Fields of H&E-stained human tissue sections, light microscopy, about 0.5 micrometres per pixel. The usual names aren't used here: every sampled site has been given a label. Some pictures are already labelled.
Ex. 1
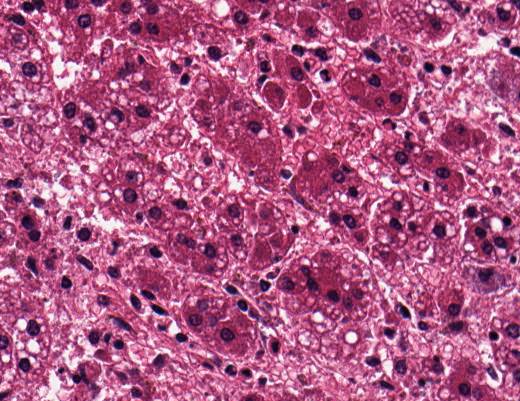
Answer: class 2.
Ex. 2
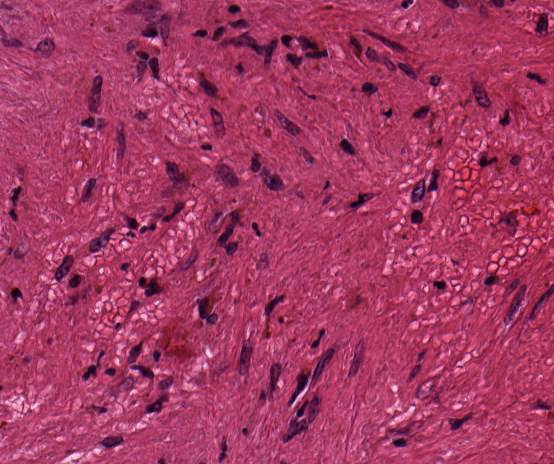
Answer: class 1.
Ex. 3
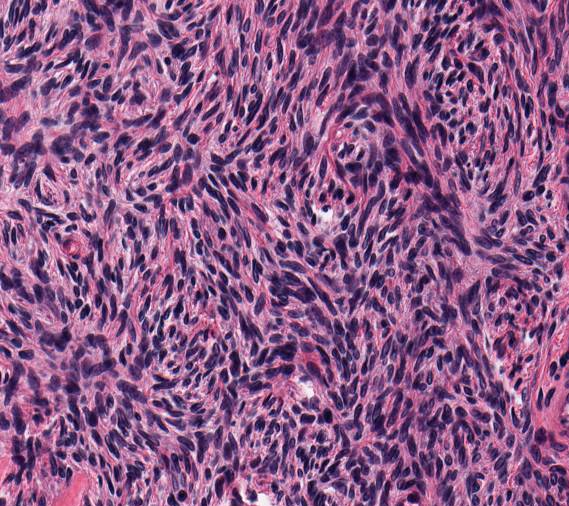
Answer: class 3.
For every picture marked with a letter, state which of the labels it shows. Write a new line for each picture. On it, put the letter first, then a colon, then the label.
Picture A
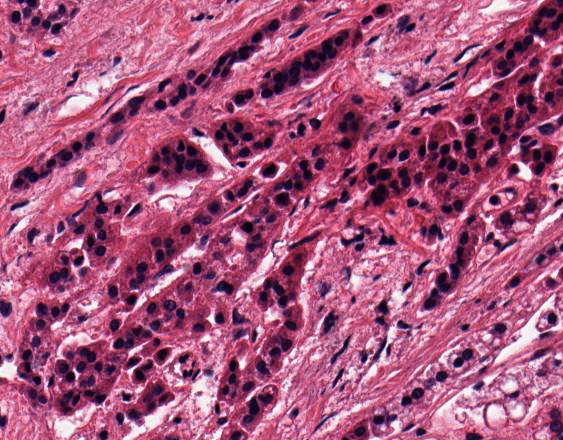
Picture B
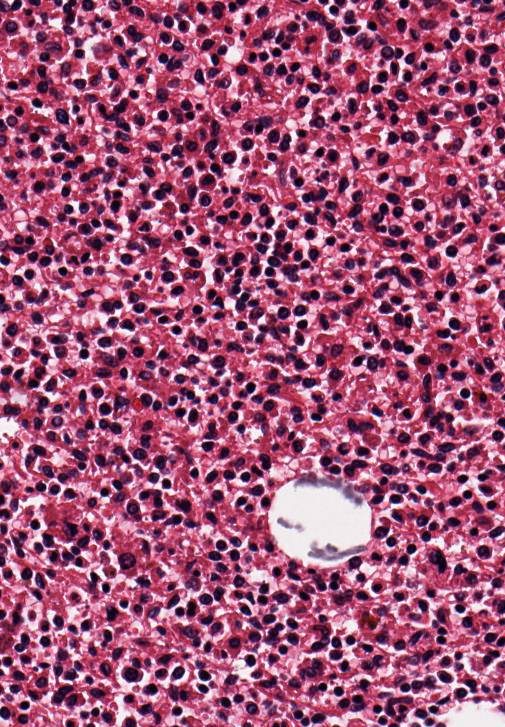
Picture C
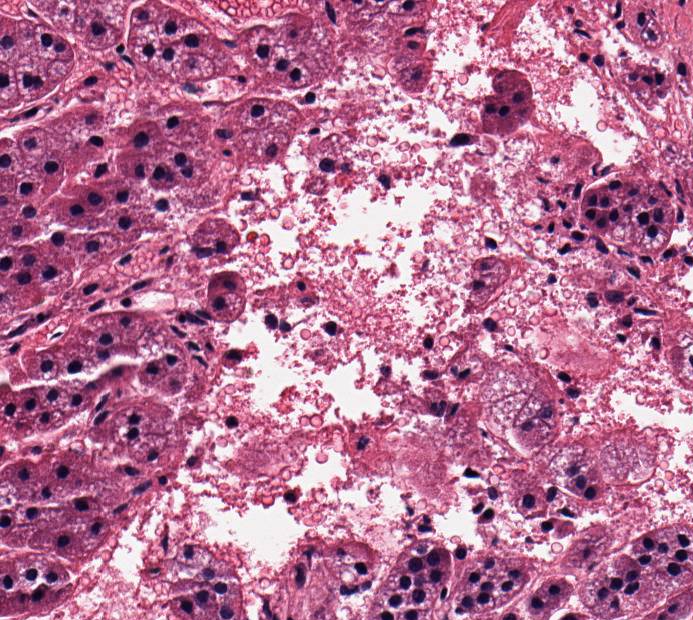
A: class 2.
B: class 1.
C: class 2.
